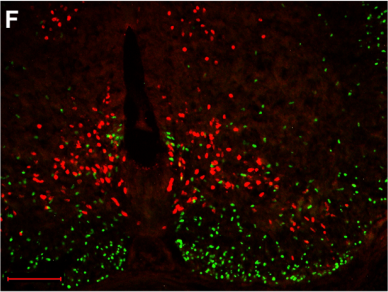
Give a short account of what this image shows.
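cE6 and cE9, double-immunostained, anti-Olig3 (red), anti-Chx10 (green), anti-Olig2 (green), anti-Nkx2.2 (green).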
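Ventral spinal cord around the slit-like central canal, with many small labelled nuclei. Red nuclei are gathered densely on both sides of the canal and spread laterally into the surrounding grey matter. Small green nuclei are scattered through the tissue and become most crowded along the ventral margin of the cord, below the red cells. Red and green nuclei lie intermingled at their border but each nucleus shows only one colour.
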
